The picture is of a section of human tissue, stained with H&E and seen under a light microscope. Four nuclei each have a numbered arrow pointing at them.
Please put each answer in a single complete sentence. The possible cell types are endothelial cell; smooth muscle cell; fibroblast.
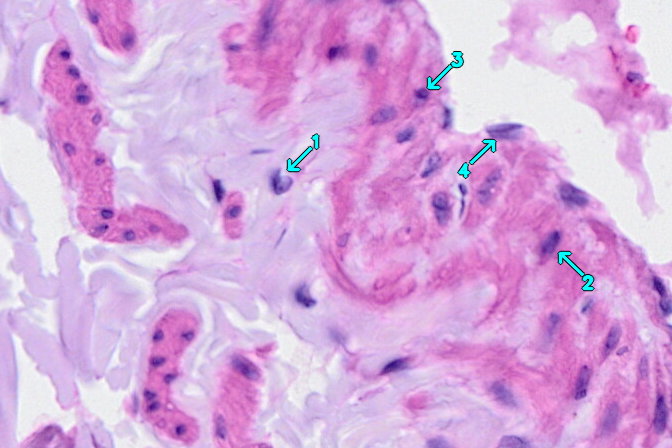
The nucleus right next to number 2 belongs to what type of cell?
The nearest nucleus to number 2 belongs to an endothelial cell.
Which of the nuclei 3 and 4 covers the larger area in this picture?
Of the two, number 4 is bigger and takes up about 3 times the area of number 3.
